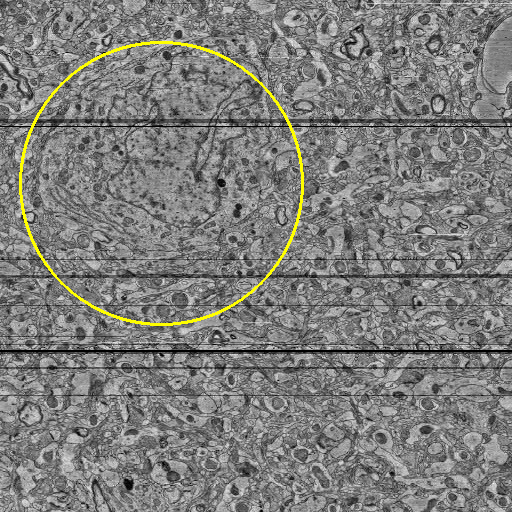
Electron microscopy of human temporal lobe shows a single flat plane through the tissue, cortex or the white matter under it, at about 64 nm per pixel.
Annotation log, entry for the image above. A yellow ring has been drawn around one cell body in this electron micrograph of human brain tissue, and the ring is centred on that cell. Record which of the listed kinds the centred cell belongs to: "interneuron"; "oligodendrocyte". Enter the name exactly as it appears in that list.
interneuron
